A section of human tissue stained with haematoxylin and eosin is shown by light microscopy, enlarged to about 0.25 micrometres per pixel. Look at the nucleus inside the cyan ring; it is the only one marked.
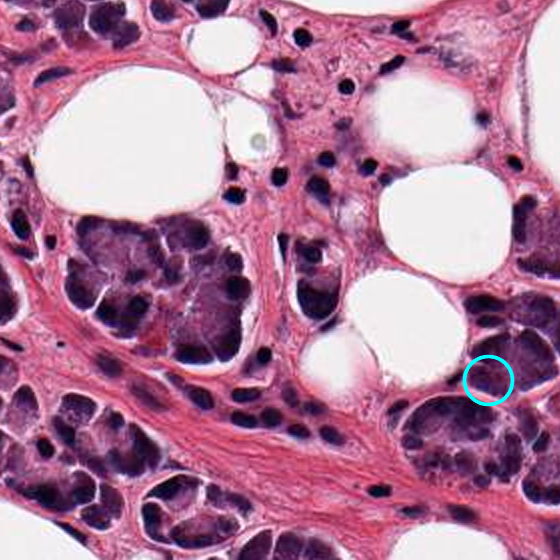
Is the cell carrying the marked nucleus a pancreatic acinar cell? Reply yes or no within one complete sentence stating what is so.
Yes, the marked nucleus is to be read as that of a pancreatic acinar cell.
